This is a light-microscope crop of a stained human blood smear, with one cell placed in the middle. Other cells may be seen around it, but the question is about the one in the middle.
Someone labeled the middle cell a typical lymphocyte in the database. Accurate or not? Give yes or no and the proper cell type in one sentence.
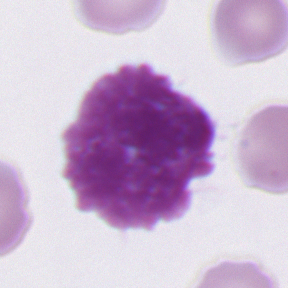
No, the cell sitting in the middle is a smudge cell, and it is not a typical lymphocyte.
